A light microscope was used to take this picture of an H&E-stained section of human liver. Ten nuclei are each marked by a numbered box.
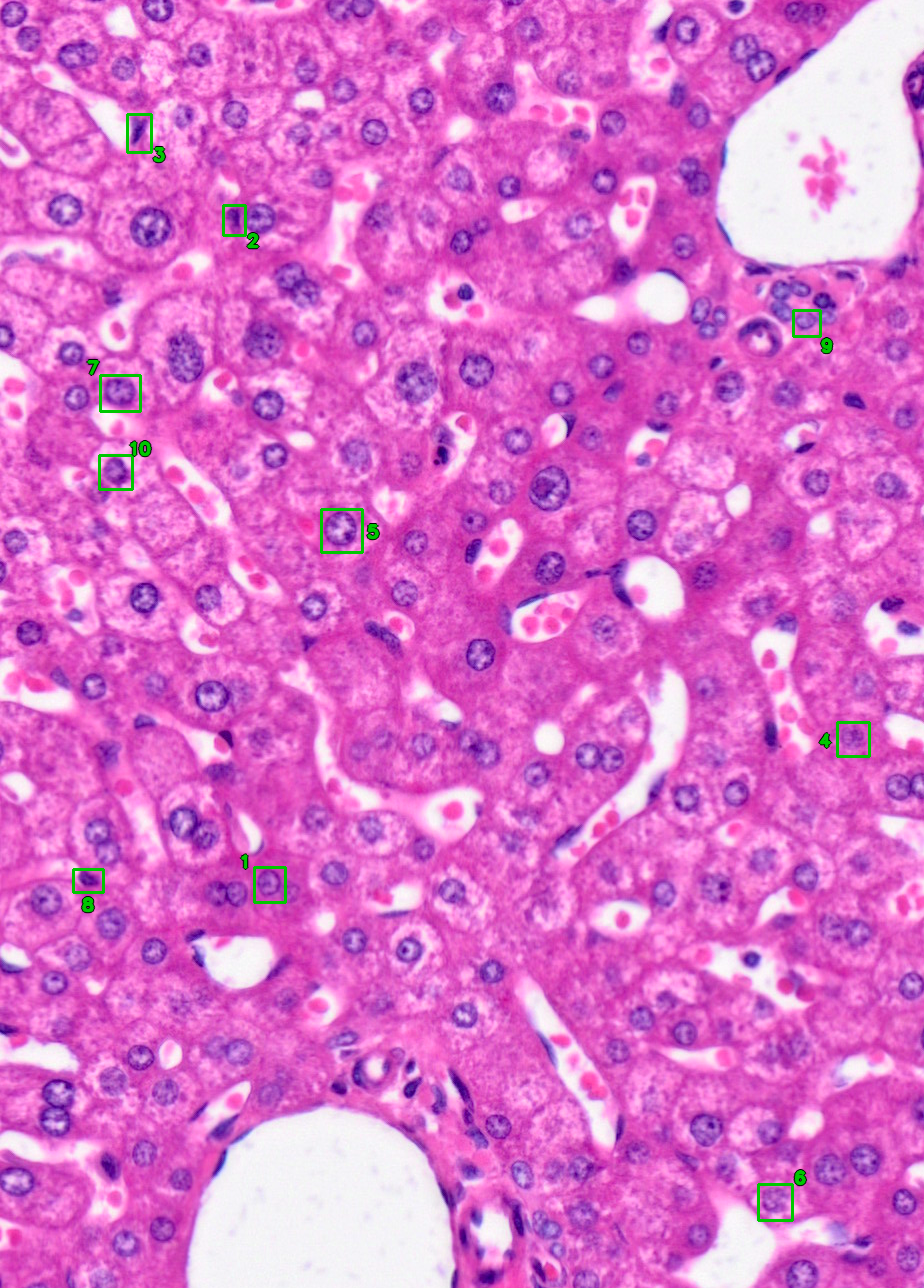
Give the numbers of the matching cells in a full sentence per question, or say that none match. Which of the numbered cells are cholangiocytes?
Nothing but cell 9 is a cholangiocyte among the numbered ones.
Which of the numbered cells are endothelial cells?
Cell 3 is an endothelial cell; every other numbered cell is something else.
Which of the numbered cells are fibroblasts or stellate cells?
To be specific, the cells numbered 2 and 8 are fibroblasts or stellate cells.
